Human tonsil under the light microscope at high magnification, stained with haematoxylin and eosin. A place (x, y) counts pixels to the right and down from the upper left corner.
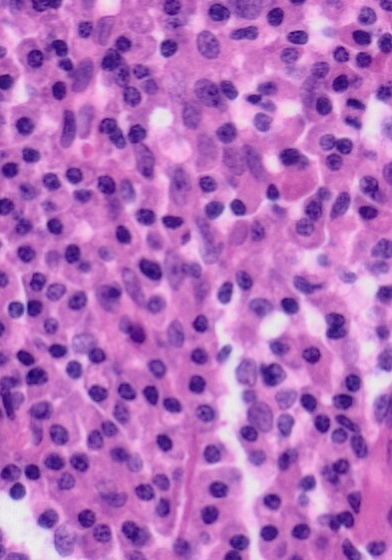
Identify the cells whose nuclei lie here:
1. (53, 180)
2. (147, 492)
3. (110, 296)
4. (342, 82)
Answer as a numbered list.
1. plasma cell
2. plasma cell
3. squamous epithelial cell
4. plasma cell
